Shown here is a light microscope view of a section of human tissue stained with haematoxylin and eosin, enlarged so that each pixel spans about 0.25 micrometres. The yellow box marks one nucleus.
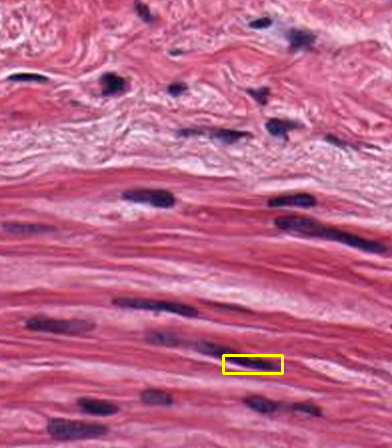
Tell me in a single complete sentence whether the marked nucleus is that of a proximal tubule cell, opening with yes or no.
No, the nucleus pointed out by the marker is not in a proximal tubule cell.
